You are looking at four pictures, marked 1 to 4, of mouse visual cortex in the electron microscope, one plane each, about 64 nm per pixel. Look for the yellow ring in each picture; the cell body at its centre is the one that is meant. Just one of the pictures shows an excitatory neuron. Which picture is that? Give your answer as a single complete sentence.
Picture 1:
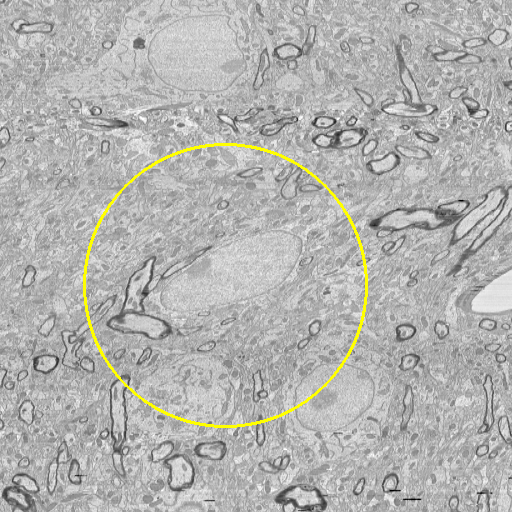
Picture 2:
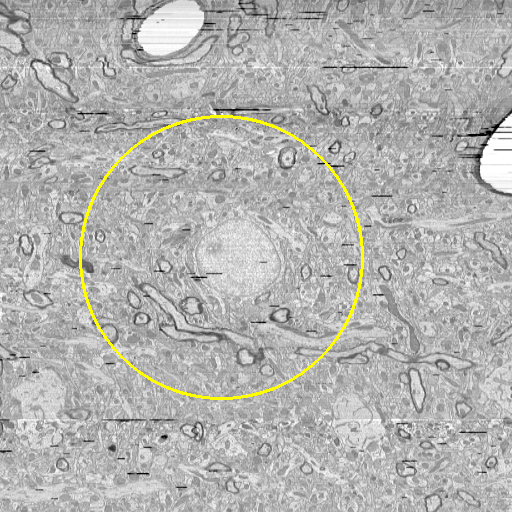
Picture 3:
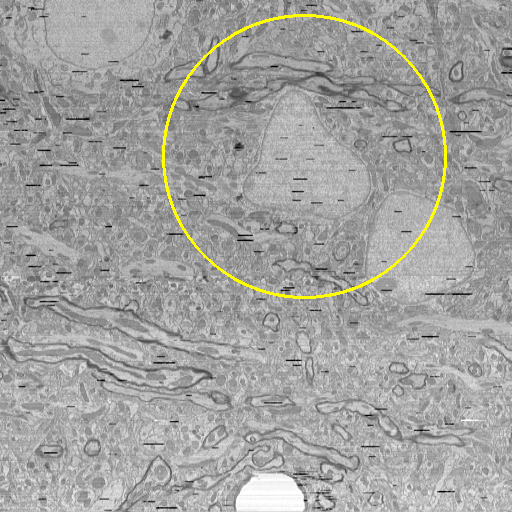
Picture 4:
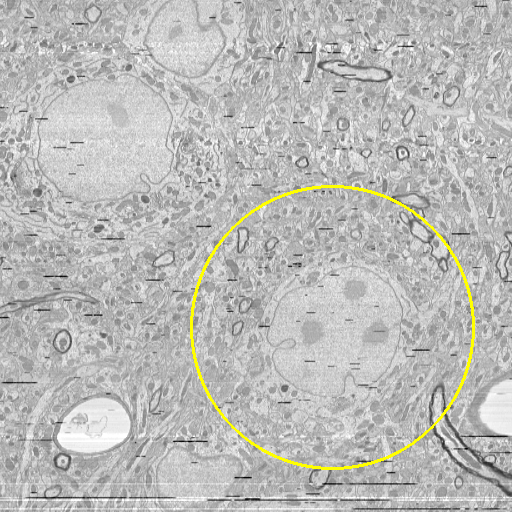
The cell in picture 4 is the excitatory neuron.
